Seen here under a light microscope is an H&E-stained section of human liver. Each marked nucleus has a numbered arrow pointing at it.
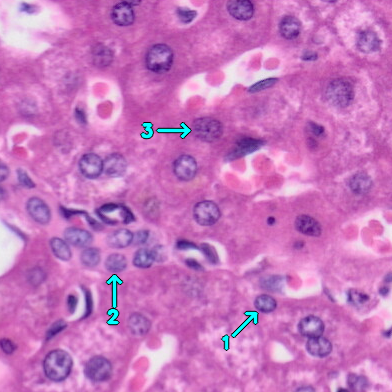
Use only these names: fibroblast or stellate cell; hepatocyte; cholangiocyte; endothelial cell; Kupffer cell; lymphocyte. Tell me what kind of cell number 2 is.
cholangiocyte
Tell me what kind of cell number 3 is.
hepatocyte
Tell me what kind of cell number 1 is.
cholangiocyte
